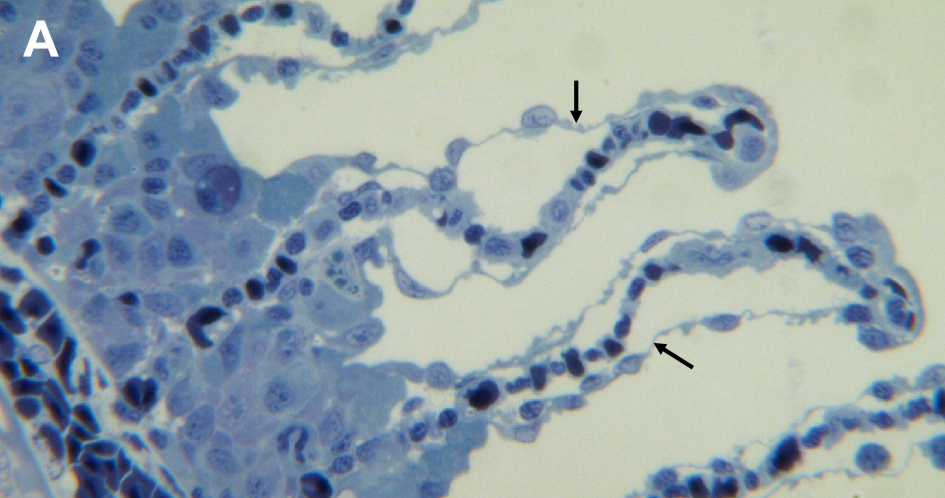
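This is a section of fish gill with several slender lamellae projecting from the filament toward the right. Each lamella has a central row of small, very dark blue cells in a line, flanked by flattened cells with pale blue cytoplasm and oval nuclei. Along several lamellae the thin outermost cell layer stands apart from this core, leaving an empty, clear gap between them, so that the lamella looks like a sleeve lifted off its centre. At the base, the filament is packed with larger pale cells with round nuclei, and densely stained tissue runs along the lower left edge.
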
